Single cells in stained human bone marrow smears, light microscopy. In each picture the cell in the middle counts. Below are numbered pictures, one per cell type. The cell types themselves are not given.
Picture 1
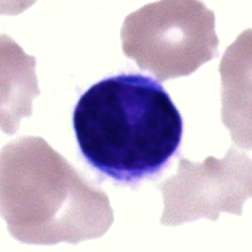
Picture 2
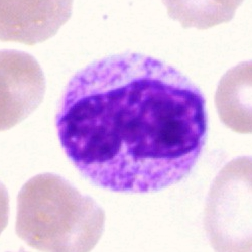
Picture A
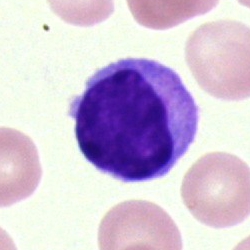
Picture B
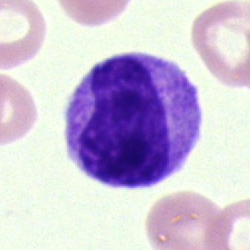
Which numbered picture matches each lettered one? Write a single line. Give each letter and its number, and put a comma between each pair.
A 1, B 2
